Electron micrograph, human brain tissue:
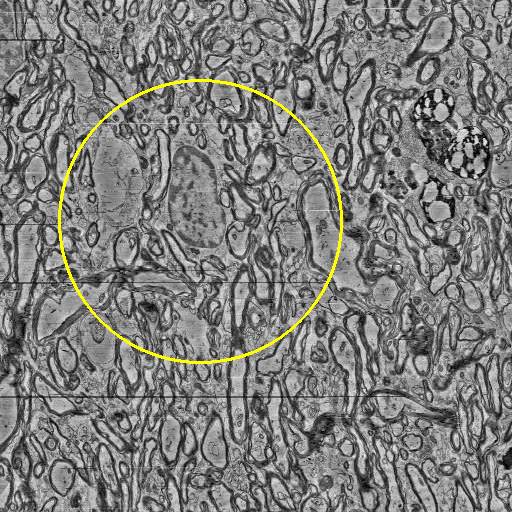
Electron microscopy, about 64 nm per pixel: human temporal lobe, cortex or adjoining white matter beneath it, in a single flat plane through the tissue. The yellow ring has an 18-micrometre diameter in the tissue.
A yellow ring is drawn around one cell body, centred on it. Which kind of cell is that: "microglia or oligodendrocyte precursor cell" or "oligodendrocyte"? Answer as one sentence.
It is a microglial cell or oligodendrocyte precursor cell at the centre of the ring.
